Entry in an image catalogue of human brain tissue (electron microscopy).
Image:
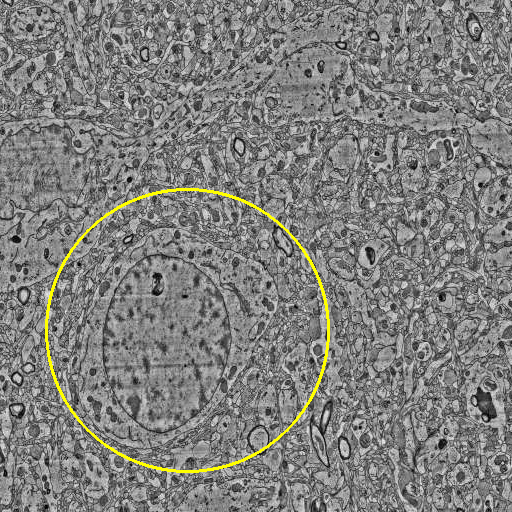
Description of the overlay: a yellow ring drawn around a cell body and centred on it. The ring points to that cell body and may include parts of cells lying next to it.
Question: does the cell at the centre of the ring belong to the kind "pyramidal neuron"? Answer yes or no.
yes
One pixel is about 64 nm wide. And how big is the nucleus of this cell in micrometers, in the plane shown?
The nucleus measures about 11 by 8 micrometres in this plane.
